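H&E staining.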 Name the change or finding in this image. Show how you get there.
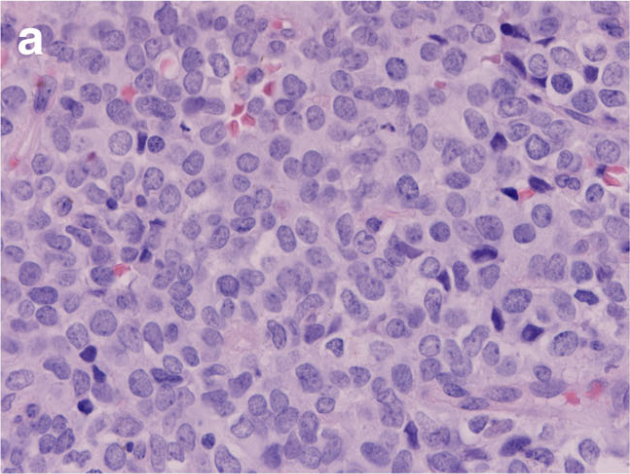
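Sheets of closely packed cells with round to oval nuclei. No glandular or other organized architecture. The answer: small blue cell tumor.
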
